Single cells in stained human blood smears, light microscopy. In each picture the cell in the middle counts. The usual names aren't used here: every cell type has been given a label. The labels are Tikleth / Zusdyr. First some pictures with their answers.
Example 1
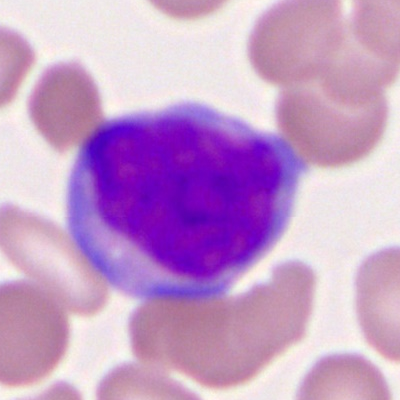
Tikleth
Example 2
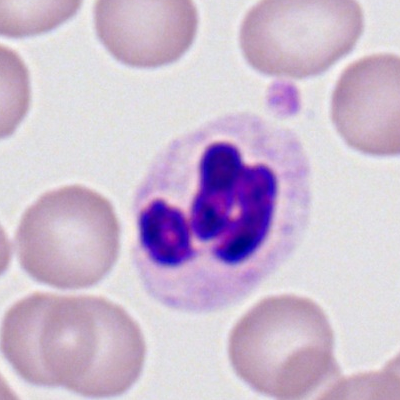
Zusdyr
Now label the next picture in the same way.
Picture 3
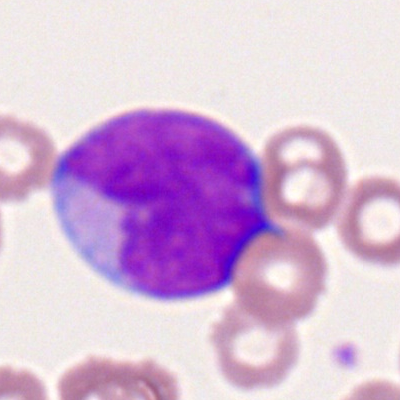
Tikleth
